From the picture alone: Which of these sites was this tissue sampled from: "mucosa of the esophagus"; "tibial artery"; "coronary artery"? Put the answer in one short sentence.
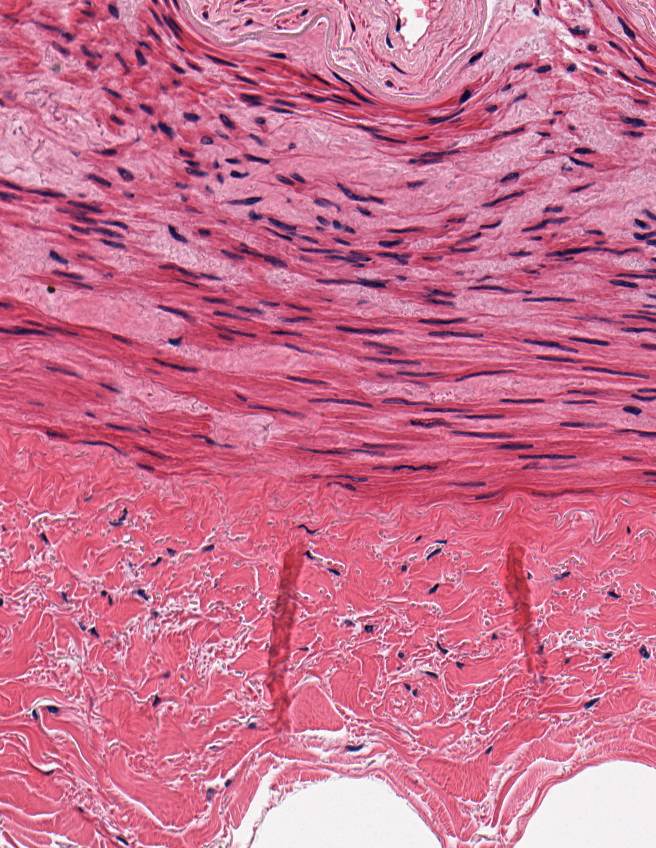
The site this tissue was sampled from is the tibial artery.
